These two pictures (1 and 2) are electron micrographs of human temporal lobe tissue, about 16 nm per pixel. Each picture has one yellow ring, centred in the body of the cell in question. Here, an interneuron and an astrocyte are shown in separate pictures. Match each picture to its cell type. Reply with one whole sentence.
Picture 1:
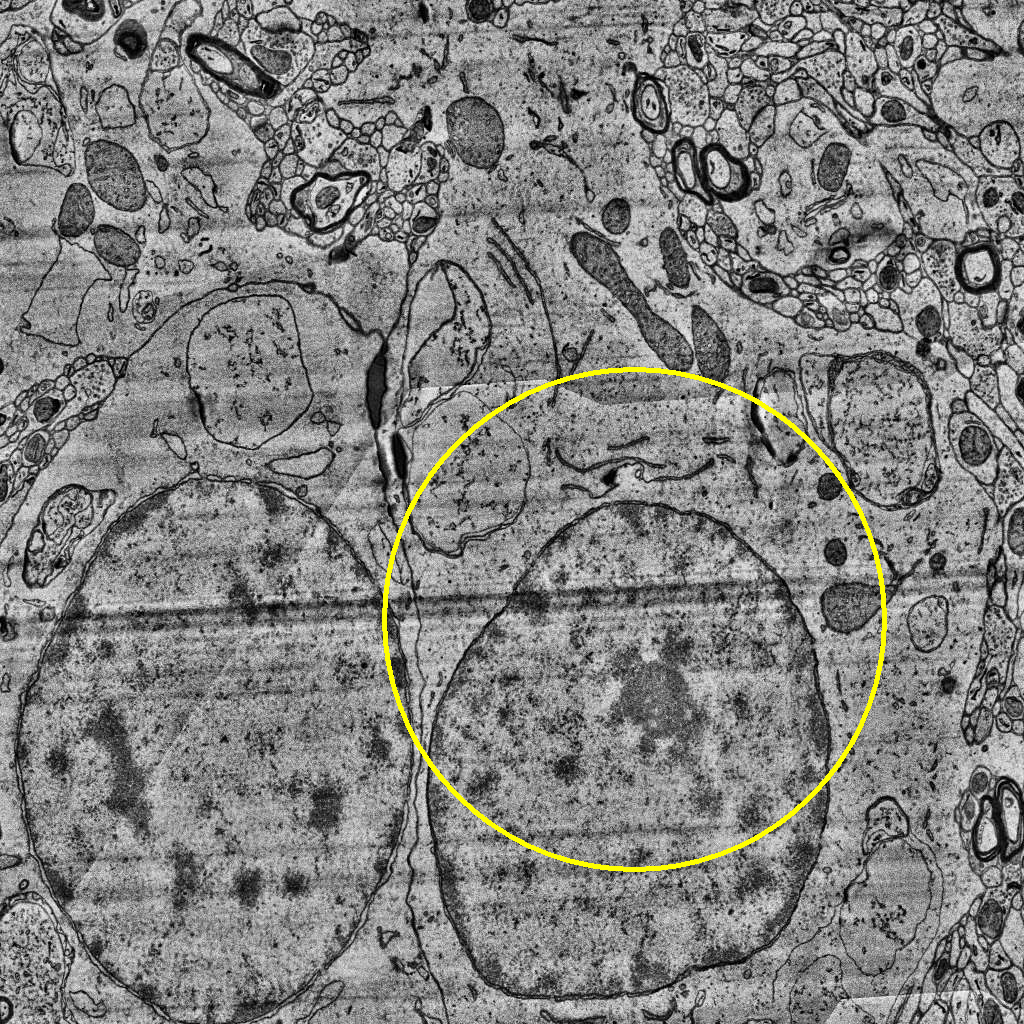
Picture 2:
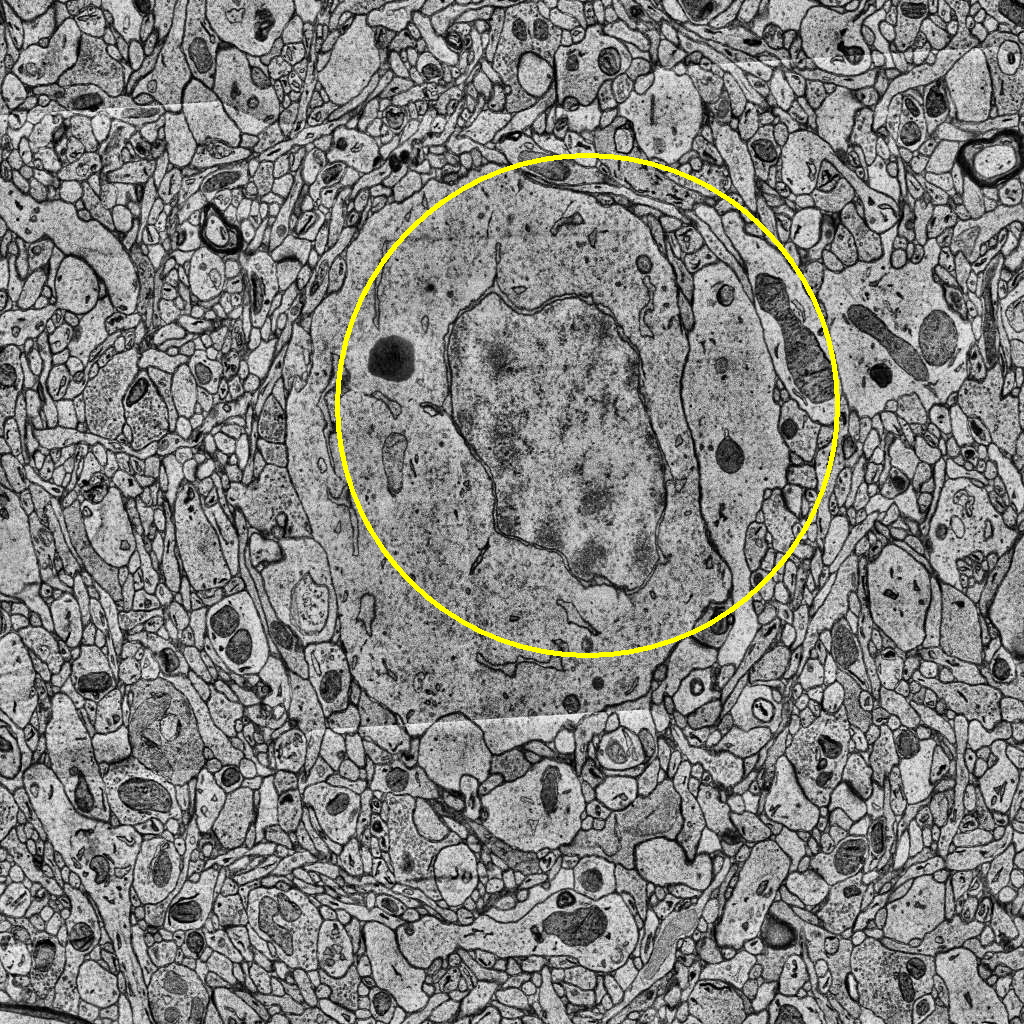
Picture 2 shows an interneuron, while picture 1 shows an astrocyte.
